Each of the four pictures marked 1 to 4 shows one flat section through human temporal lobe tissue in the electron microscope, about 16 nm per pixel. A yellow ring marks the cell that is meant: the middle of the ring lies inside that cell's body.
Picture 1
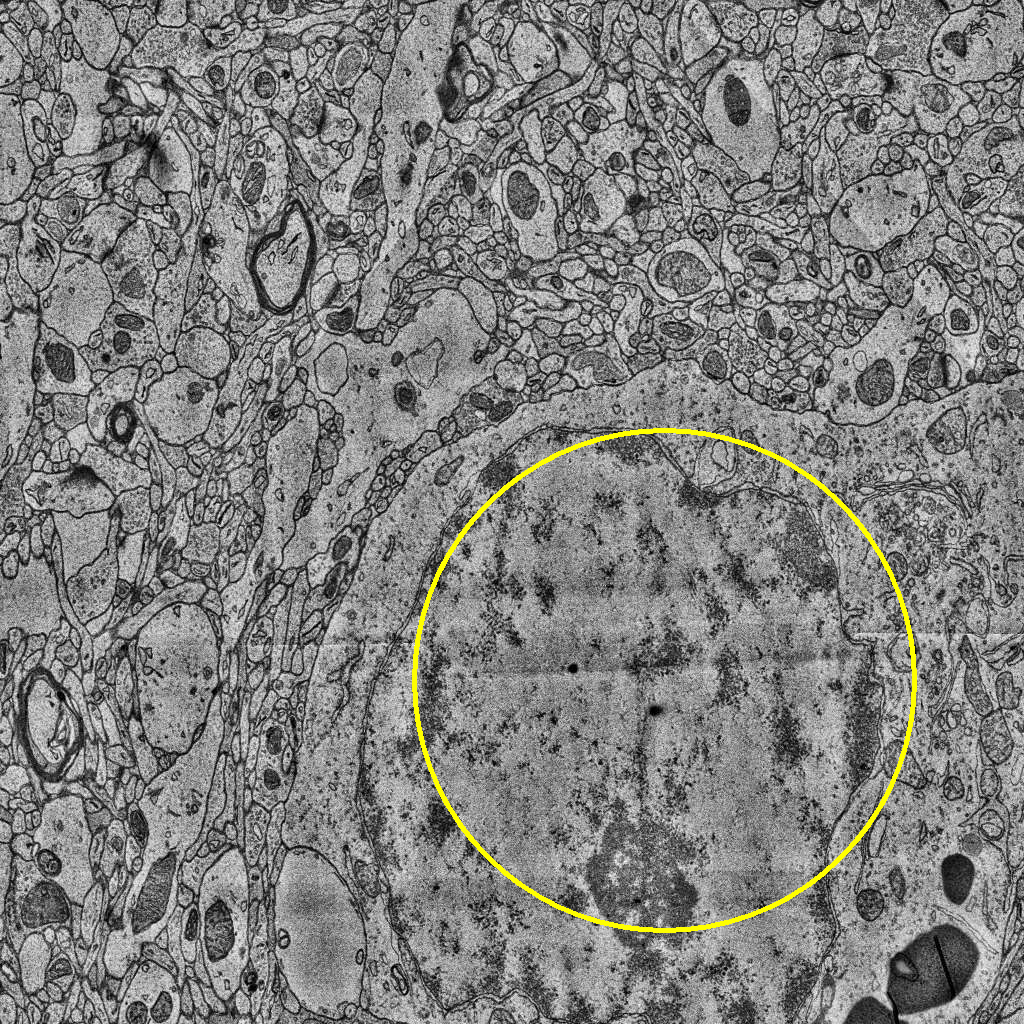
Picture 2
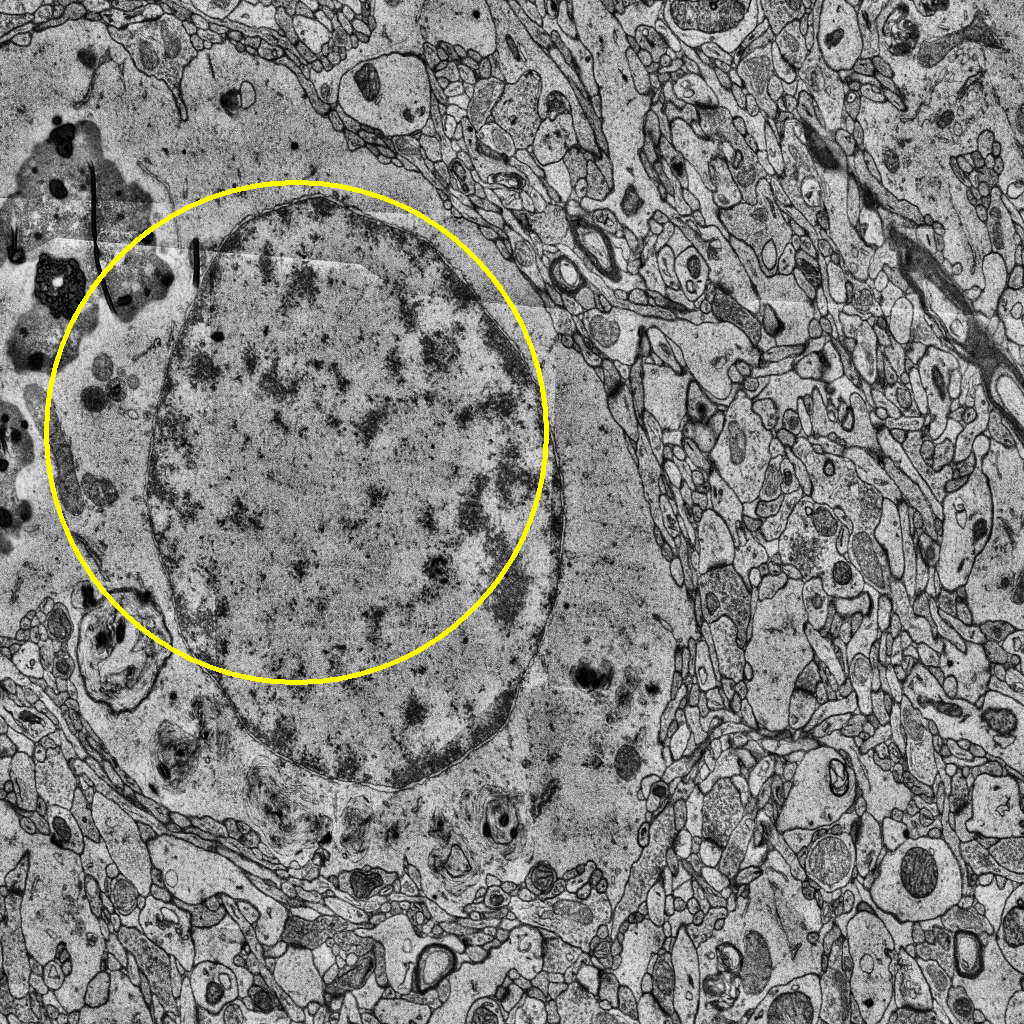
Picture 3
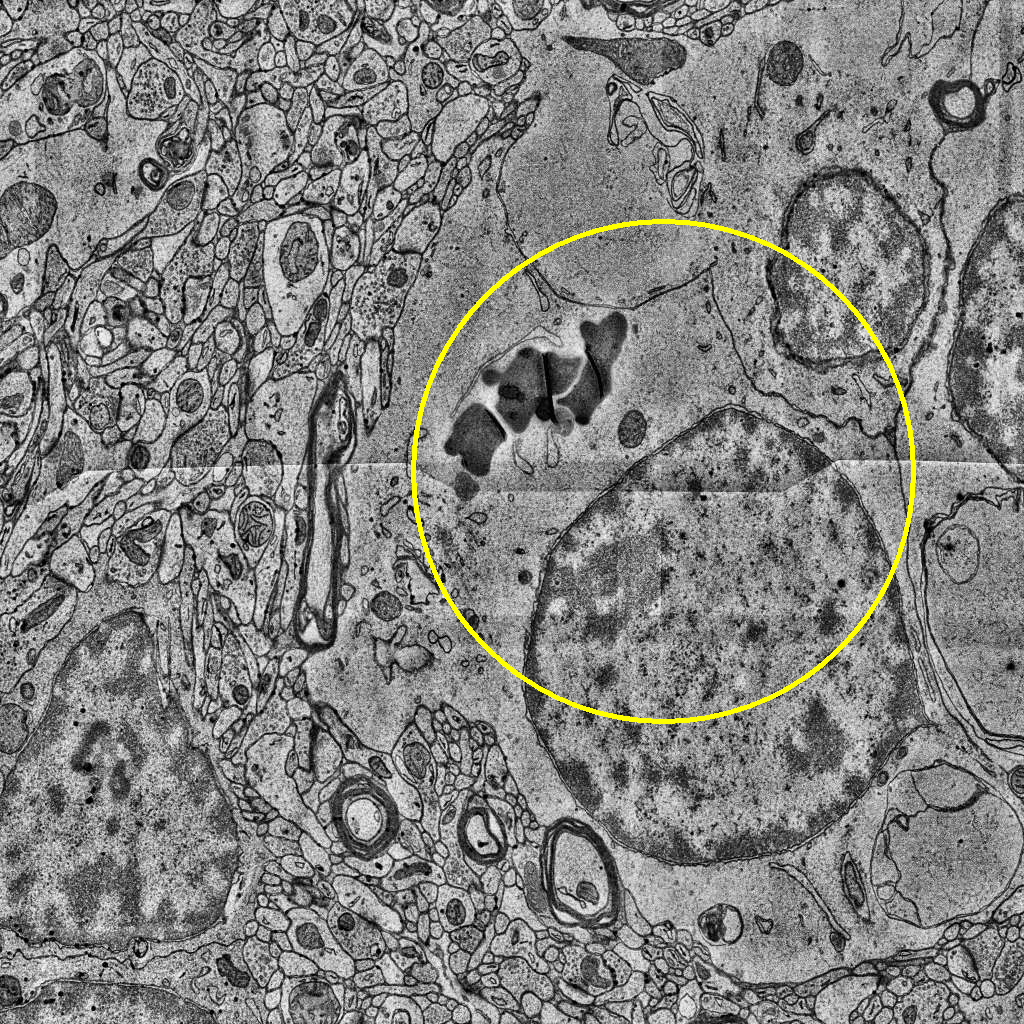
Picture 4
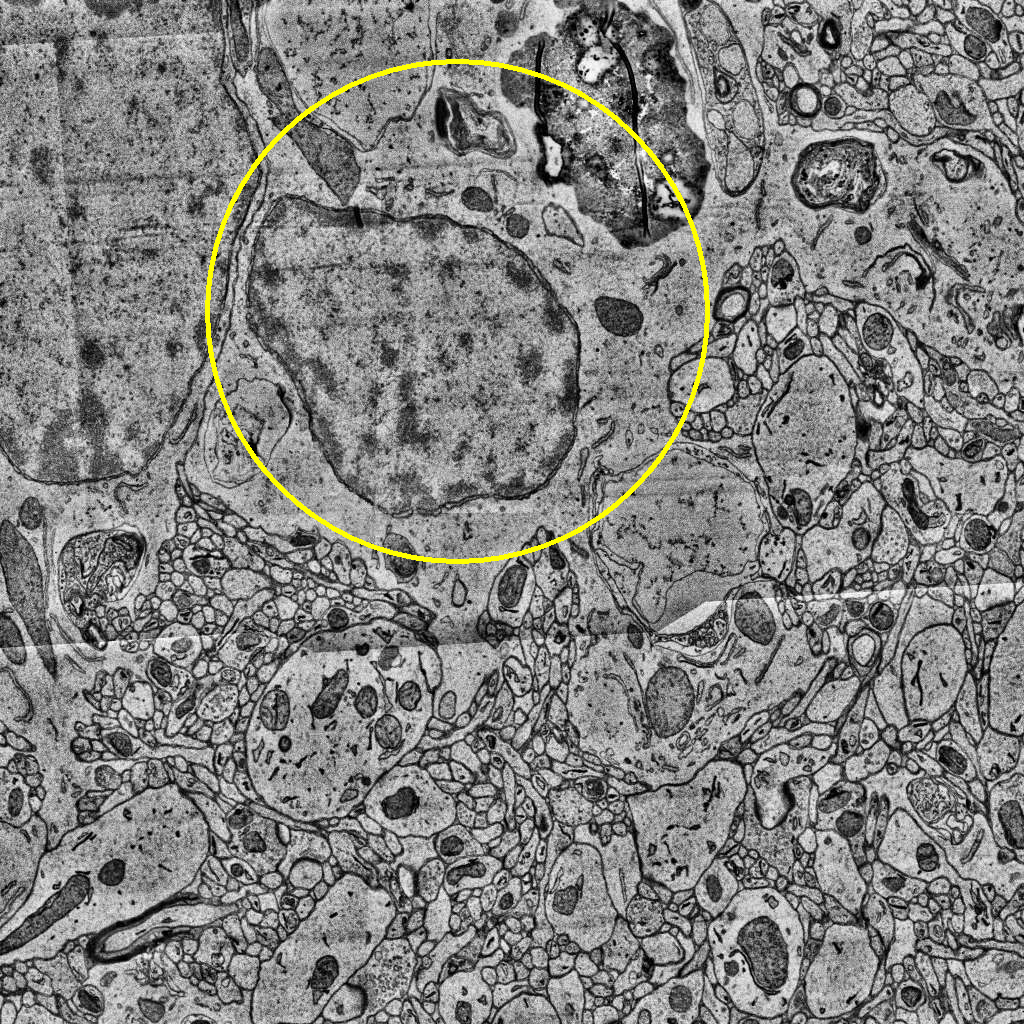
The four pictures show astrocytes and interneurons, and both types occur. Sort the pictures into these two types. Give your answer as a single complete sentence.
Pictures 2, 3 and 4 show astrocytes, and picture 1 shows an interneuron.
